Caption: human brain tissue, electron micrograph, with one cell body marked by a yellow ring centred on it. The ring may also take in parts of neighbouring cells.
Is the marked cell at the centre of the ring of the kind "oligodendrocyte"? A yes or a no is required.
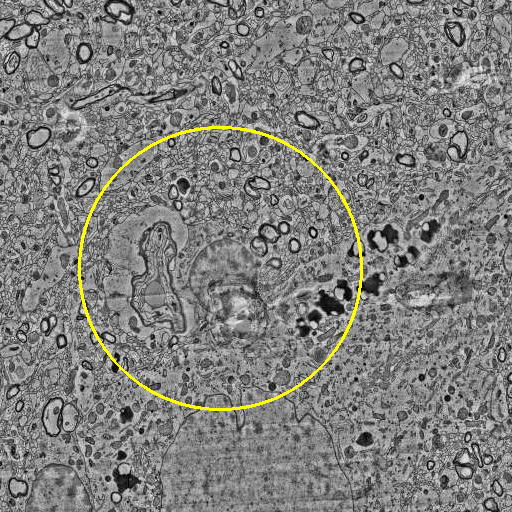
yes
